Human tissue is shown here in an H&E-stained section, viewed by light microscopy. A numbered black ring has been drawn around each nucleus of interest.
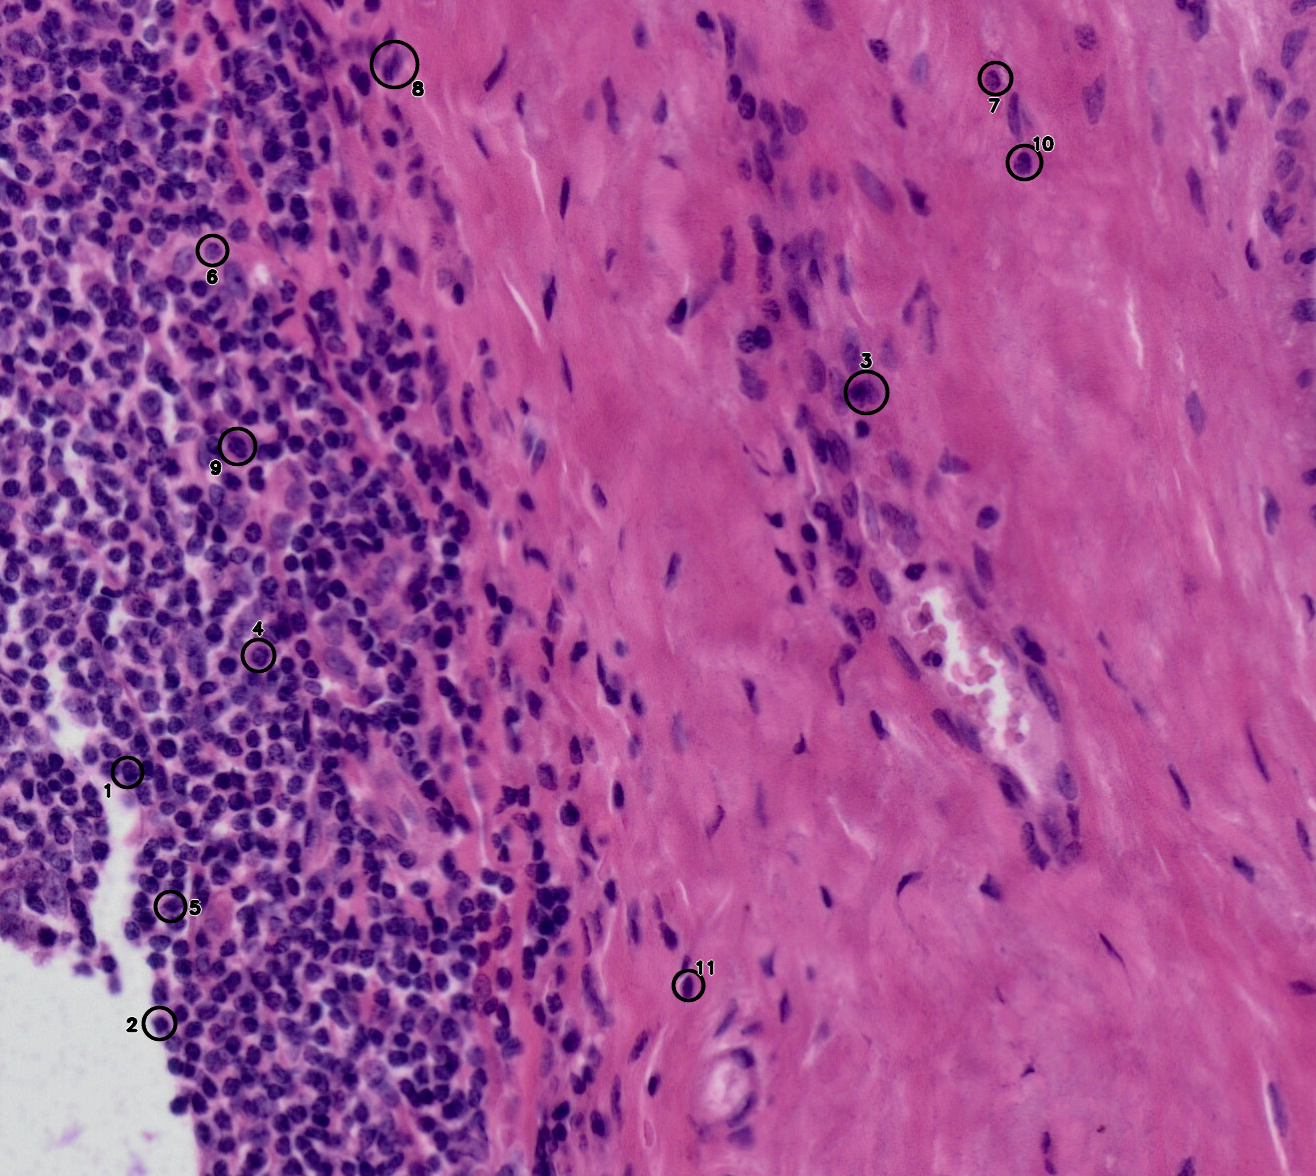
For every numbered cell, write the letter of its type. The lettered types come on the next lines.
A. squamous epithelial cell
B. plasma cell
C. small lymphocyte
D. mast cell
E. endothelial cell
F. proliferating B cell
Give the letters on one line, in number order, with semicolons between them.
C; C; E; B; C; E; D; E; B; D; D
